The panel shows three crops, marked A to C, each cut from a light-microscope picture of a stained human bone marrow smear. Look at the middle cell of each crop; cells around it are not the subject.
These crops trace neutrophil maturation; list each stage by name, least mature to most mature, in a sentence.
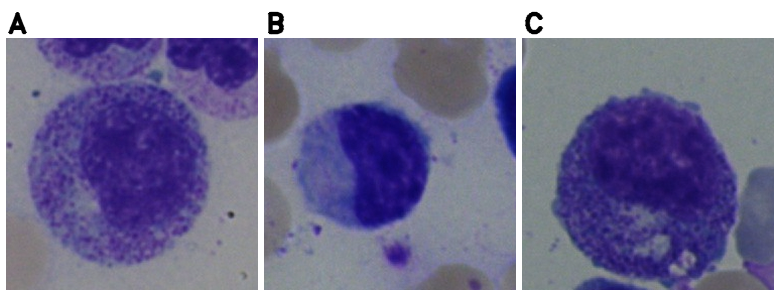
The ordering by maturity, least to greatest, is crop C (a promyelocyte), crop A (a myelocyte) and crop B (a metamyelocyte).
